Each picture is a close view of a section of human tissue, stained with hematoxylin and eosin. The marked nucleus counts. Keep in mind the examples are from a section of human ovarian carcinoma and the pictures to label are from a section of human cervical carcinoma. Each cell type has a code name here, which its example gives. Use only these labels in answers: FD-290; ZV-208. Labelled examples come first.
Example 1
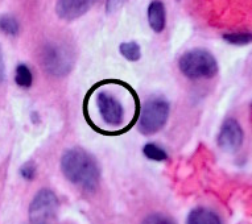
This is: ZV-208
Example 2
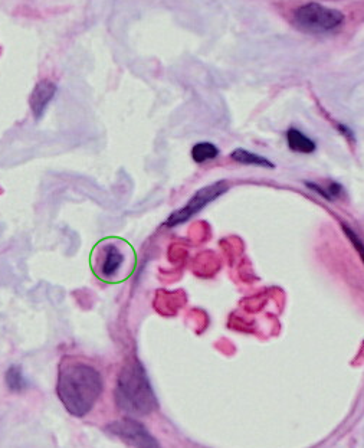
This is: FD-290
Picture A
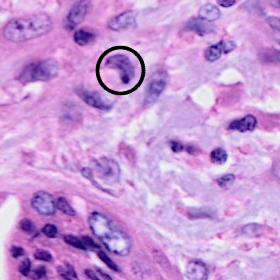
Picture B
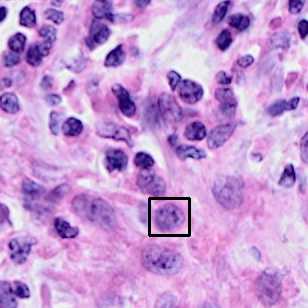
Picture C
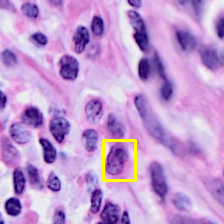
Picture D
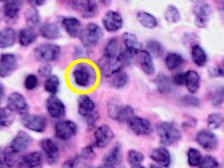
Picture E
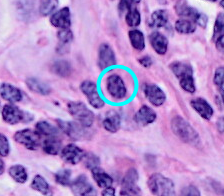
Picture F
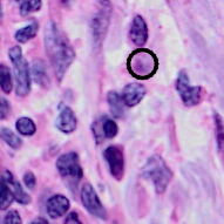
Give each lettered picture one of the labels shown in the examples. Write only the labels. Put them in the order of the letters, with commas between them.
FD-290, FD-290, FD-290, ZV-208, ZV-208, FD-290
